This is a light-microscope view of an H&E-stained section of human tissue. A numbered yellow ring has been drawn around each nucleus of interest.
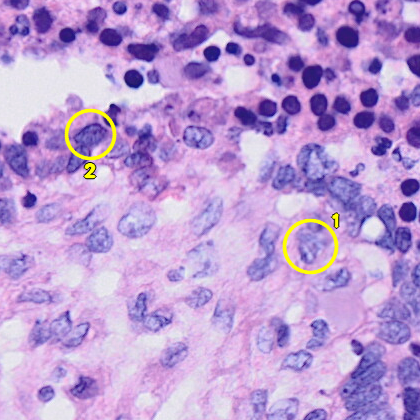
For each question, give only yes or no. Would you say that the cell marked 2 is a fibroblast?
no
